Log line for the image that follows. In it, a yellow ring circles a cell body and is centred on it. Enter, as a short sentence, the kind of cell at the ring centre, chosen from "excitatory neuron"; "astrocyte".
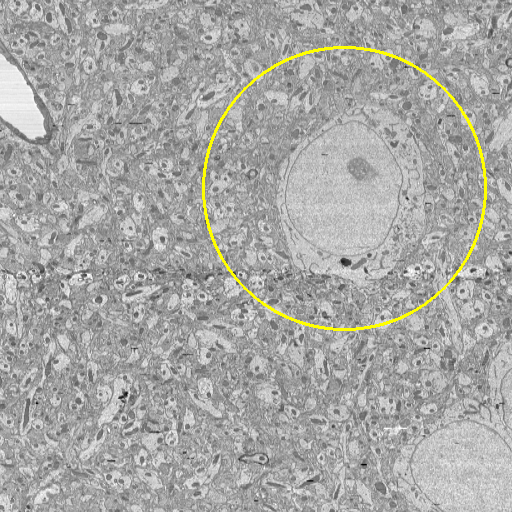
The ring centre is occupied by an excitatory neuron.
